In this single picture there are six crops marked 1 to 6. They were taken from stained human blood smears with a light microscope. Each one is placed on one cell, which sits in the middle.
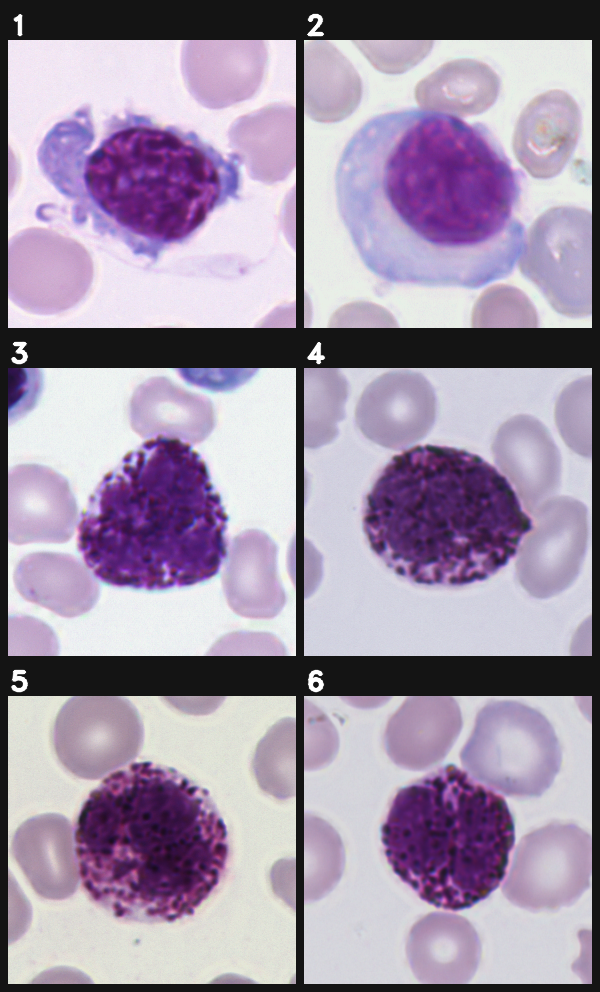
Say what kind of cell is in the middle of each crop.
1: plasma cell
2: plasma cell
3: basophil
4: basophil
5: basophil
6: basophil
